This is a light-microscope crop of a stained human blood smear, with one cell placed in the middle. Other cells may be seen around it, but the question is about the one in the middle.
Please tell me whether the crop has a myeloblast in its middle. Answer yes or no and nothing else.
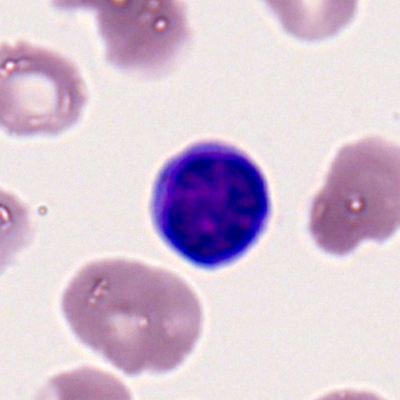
no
